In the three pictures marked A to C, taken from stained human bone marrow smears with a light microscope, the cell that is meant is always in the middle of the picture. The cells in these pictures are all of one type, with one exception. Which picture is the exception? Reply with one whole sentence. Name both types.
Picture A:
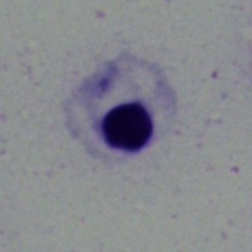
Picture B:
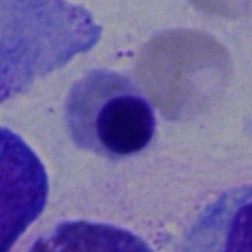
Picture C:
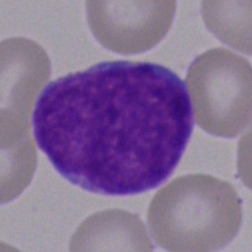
The different one is picture C; it shows a blast, whereas all the others show erythroblasts.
